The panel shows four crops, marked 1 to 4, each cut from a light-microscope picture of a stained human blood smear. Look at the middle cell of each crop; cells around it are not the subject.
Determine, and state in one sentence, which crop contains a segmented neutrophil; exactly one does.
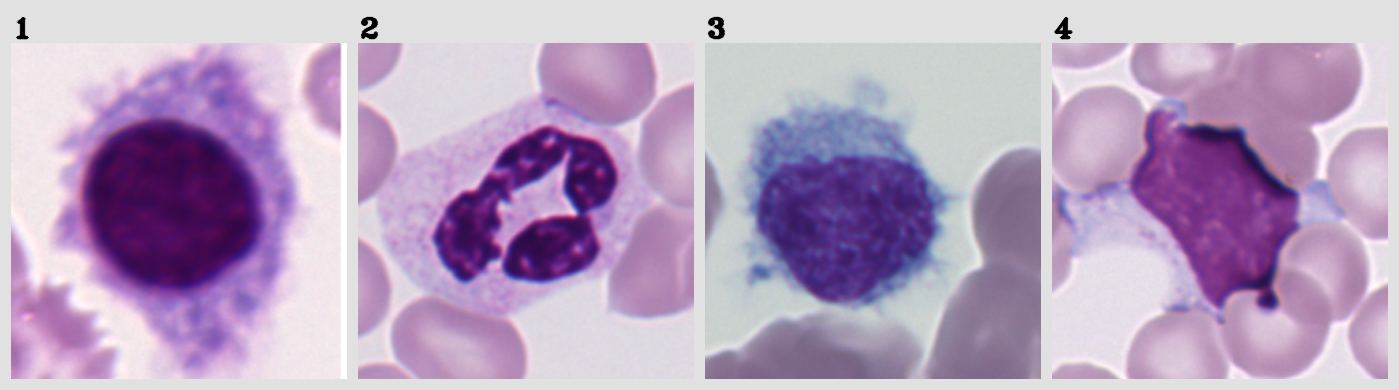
Crop 2 is the crop containing a segmented neutrophil.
